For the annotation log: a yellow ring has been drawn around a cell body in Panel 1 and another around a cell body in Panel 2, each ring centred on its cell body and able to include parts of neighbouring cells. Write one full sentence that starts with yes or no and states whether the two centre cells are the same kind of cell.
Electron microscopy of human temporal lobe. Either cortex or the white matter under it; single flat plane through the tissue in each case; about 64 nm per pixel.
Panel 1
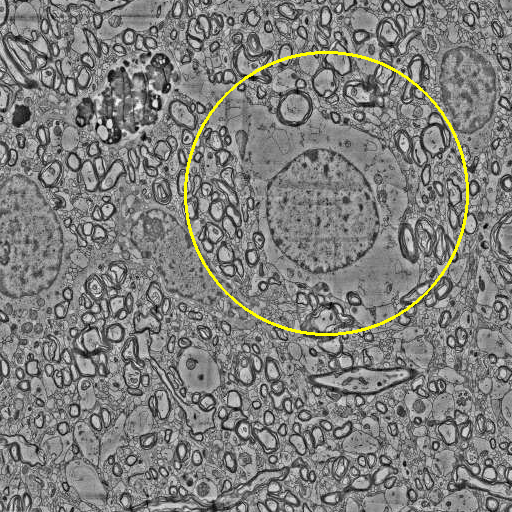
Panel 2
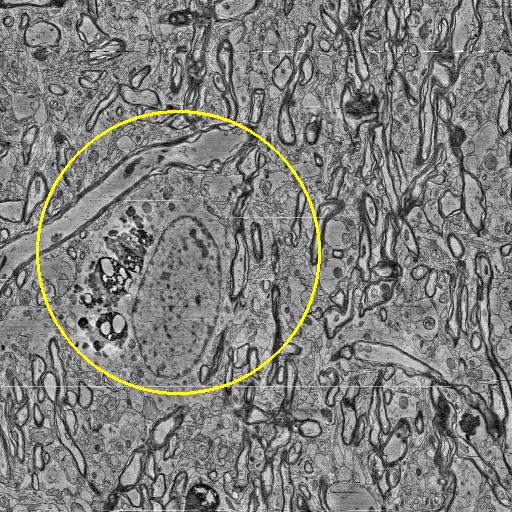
Yes, the two centre cells are the same kind of cell.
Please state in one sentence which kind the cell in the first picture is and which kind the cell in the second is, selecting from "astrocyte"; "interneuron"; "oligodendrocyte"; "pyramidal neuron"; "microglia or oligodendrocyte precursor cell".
In each picture the ringed cell is an astrocyte.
